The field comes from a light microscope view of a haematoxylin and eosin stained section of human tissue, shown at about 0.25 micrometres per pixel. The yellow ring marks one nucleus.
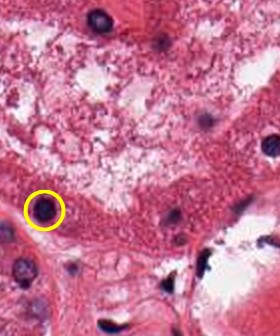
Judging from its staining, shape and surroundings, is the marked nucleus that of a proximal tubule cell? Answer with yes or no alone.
yes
